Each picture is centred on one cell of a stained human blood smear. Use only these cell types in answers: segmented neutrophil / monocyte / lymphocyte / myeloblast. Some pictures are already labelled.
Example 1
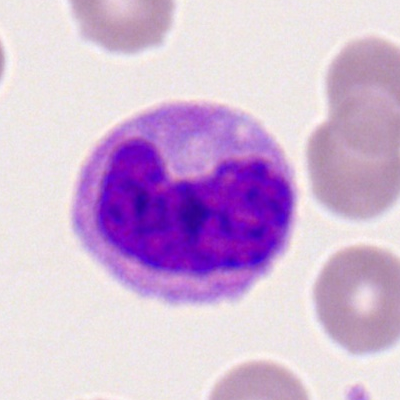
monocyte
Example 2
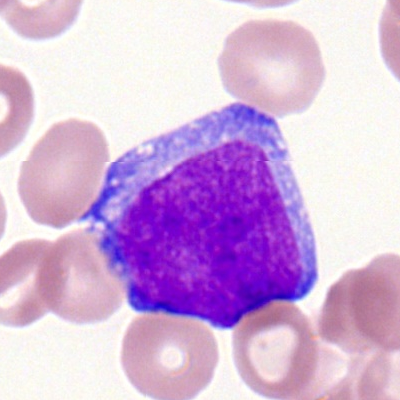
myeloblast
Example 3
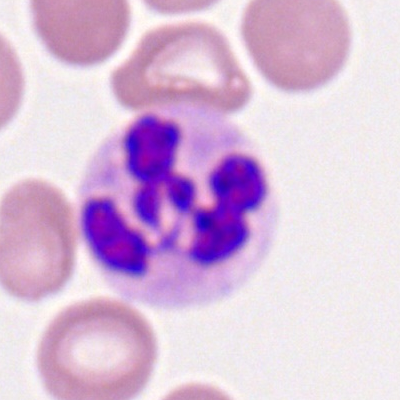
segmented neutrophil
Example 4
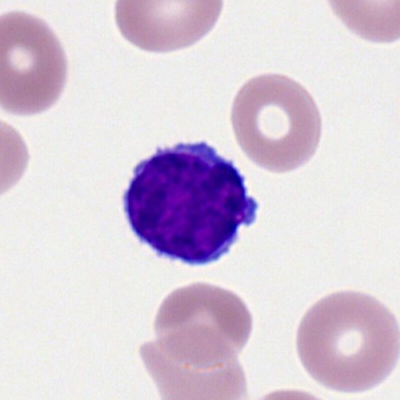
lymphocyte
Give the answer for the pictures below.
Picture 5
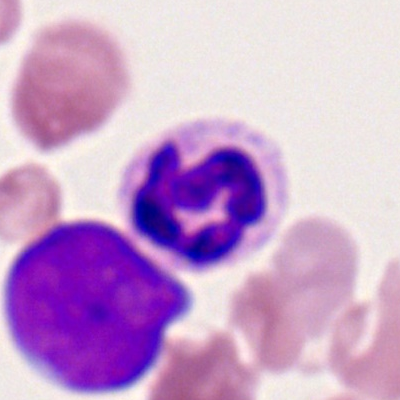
segmented neutrophil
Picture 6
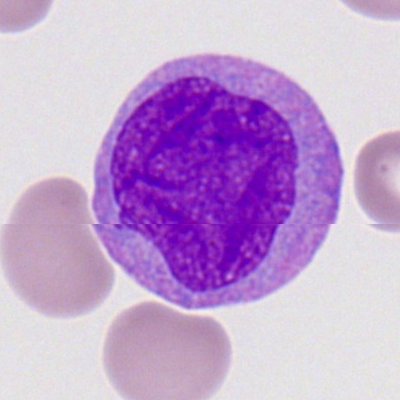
myeloblast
